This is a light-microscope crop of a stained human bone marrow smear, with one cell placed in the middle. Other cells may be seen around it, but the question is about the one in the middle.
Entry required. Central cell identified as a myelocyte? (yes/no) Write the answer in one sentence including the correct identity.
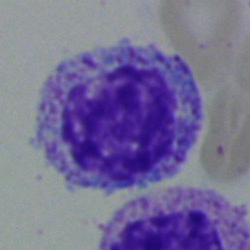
Yes, the cell right in the middle is a myelocyte.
